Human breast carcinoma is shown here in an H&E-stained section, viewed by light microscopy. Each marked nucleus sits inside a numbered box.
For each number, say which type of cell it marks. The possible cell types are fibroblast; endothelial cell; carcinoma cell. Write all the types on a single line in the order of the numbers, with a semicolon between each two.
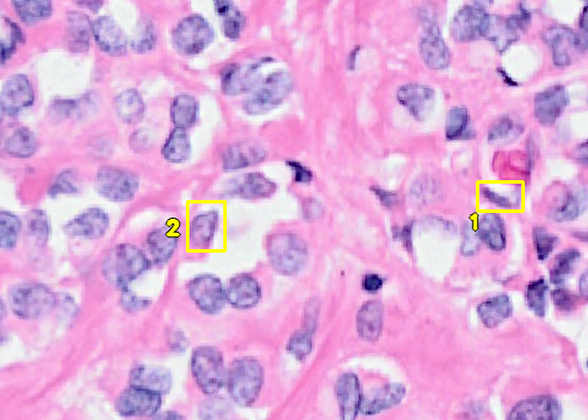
endothelial cell; carcinoma cell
